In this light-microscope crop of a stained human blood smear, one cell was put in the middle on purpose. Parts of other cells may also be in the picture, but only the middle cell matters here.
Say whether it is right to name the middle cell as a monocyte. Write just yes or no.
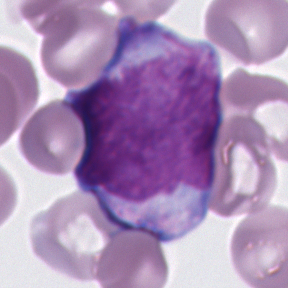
no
